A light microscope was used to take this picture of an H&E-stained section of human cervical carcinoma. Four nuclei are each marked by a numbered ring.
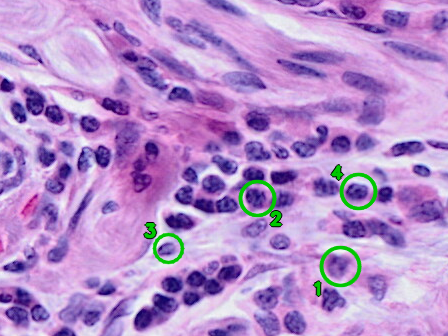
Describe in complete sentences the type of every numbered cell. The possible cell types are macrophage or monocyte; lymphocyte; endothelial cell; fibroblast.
Cell 1 is a macrophage or monocyte, cell 2 is a lymphocyte, cell 3 is a lymphocyte and cell 4 is a lymphocyte.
